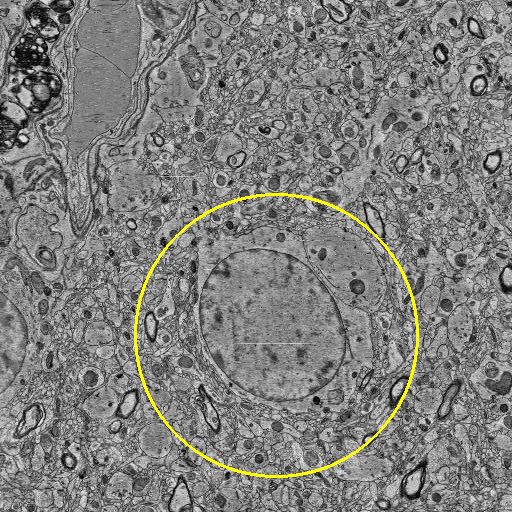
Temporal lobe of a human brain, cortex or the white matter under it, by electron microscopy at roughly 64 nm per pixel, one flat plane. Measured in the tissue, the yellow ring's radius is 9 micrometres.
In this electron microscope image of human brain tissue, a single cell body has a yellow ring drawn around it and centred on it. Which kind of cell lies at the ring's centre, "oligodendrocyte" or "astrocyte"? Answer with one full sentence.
It is an astrocyte whose cell body lies at the centre of the yellow ring here.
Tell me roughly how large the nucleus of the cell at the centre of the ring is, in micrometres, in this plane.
The nucleus works out at approximately 11 by 9 micrometres in this plane.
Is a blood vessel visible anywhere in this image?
Yes, a blood vessel can be seen.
